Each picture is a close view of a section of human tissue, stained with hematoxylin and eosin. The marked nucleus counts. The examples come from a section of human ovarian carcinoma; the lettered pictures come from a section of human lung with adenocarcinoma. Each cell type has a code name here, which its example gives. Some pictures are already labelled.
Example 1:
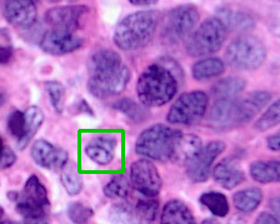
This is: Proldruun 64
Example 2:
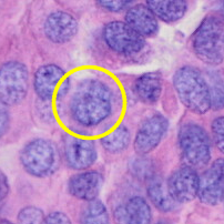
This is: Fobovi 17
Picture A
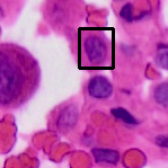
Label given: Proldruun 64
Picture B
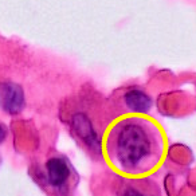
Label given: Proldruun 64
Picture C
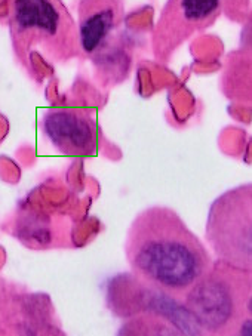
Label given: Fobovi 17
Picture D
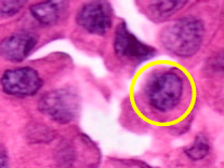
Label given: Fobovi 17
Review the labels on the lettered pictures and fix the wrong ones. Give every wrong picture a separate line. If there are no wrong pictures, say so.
C: not Fobovi 17 but Proldruun 64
